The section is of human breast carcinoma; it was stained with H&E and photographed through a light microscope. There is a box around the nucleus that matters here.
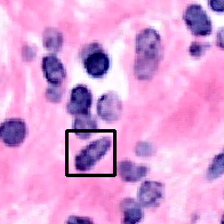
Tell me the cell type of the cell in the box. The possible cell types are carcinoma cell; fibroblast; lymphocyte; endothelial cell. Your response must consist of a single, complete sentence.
In the tissue under study, the cell in the box is a lymphocyte.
